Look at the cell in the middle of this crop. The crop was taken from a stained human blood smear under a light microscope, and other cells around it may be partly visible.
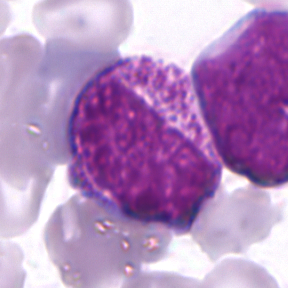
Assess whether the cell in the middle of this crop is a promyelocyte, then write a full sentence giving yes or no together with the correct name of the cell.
No, that is not a promyelocyte; the middle cell is a myelocyte.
